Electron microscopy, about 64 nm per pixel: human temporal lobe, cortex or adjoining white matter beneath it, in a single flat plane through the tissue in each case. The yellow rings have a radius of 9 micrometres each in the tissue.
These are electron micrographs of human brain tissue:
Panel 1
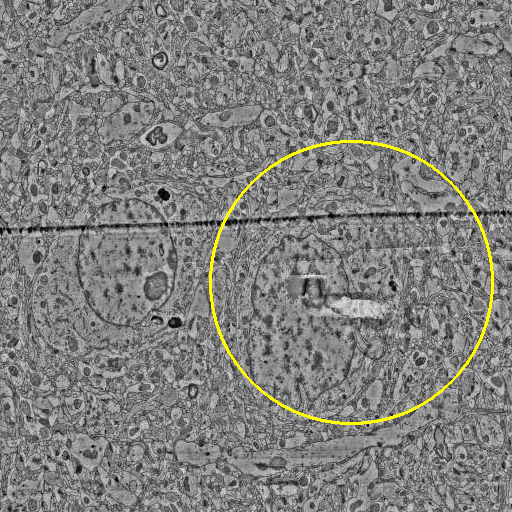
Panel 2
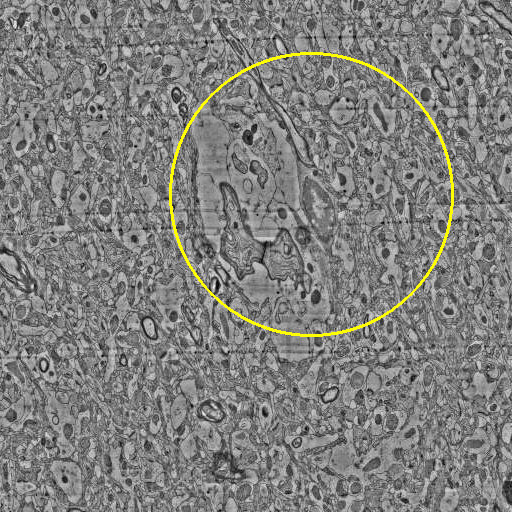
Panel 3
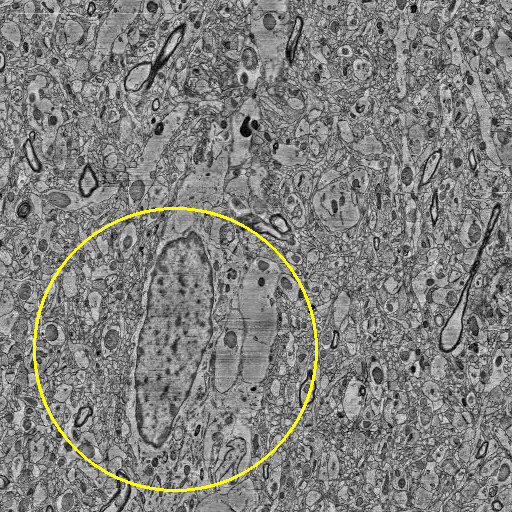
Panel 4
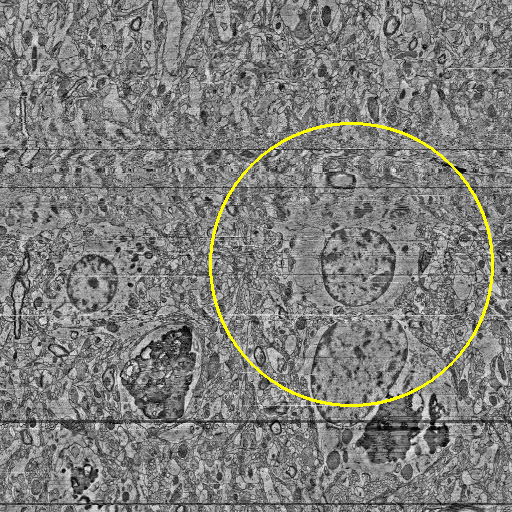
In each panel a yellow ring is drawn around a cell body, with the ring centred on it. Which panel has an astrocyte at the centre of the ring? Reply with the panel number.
4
